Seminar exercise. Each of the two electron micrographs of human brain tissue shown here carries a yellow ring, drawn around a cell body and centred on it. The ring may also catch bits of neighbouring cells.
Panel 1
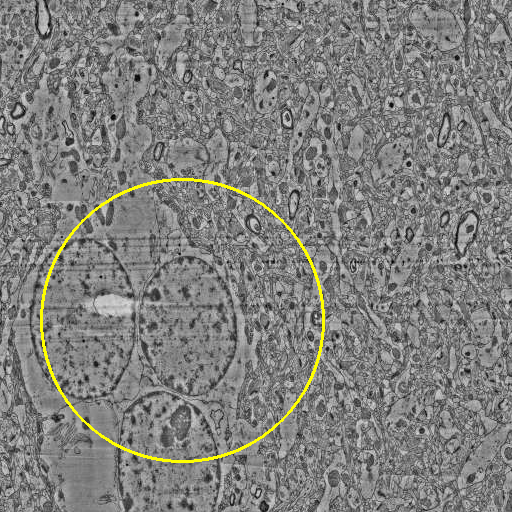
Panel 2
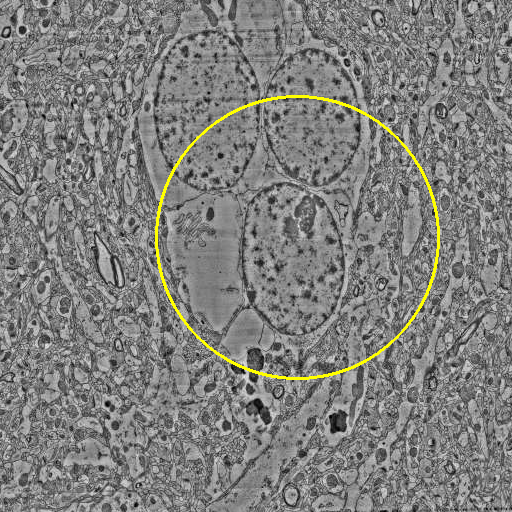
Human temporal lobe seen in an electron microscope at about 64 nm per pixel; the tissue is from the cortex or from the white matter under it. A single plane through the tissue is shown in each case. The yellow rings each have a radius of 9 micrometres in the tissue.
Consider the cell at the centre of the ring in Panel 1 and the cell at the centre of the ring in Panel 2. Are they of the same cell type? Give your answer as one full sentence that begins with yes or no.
Yes, both cells are of the same type.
